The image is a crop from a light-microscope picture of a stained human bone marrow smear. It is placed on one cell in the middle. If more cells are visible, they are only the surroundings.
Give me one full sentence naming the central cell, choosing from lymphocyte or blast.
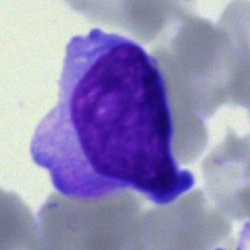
The cell in the middle of this crop is a blast.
